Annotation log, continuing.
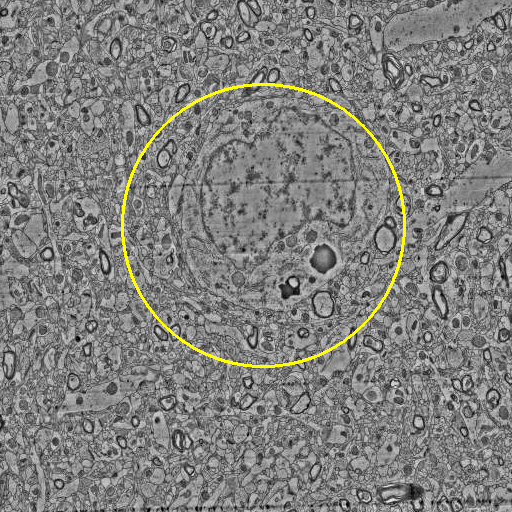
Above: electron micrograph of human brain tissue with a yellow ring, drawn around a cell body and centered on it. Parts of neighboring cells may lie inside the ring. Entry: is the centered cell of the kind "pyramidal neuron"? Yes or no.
No, the centered cell is of another kind.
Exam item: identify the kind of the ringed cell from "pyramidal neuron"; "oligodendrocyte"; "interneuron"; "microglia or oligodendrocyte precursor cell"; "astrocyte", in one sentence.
What the ring is centred on is an interneuron.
